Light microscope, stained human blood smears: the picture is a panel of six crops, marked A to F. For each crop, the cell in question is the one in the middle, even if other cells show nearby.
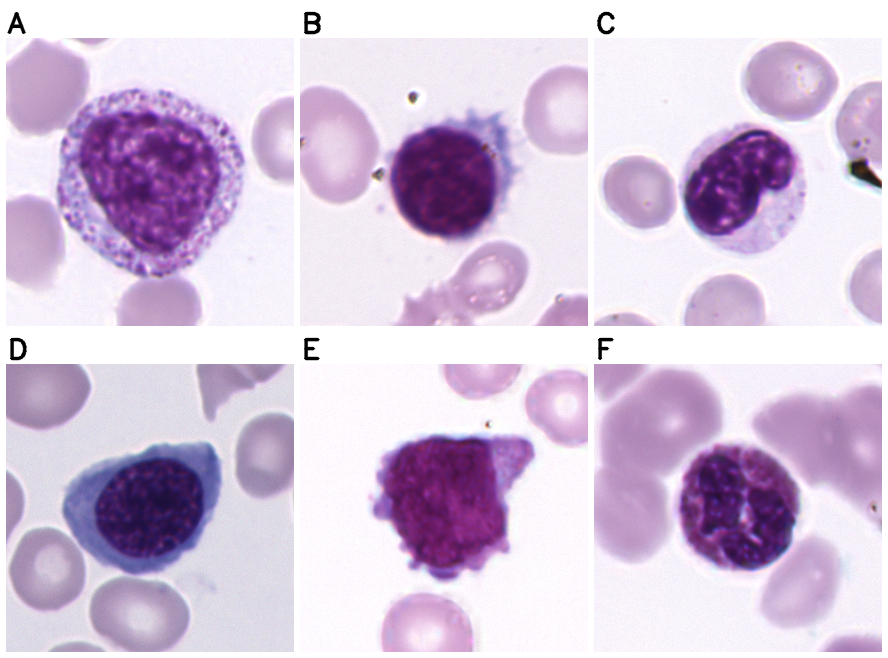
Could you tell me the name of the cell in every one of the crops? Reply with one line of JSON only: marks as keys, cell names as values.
{"A": "myelocyte", "B": "hairy cell", "C": "band neutrophil", "D": "normoblast", "E": "atypical promyelocyte", "F": "eosinophil"}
